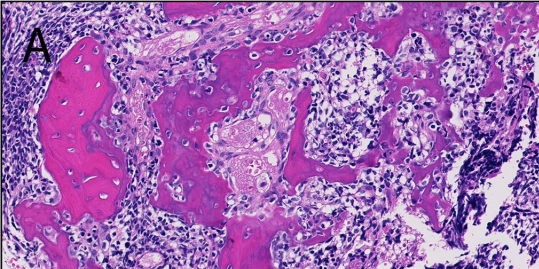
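This sarcoma shows a relatively uniform proliferation of round to spindled tumor cells around irregular deposits of primitive osteoid. The osteoid forms deep pink, homogeneous, branching trabeculae, some enclosing cells in small spaces. Between the trabeculae the tumor cells have oval dark nuclei and little cytoplasm, with some paler clustered areas. Denser dark cellular areas lie at the edges.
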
